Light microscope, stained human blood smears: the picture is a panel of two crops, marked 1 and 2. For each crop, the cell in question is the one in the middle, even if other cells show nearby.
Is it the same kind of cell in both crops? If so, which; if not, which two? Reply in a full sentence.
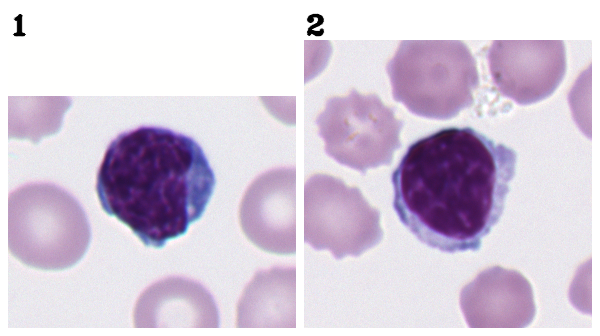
Yes, the cells found in the middle of both crops are typical lymphocytes.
